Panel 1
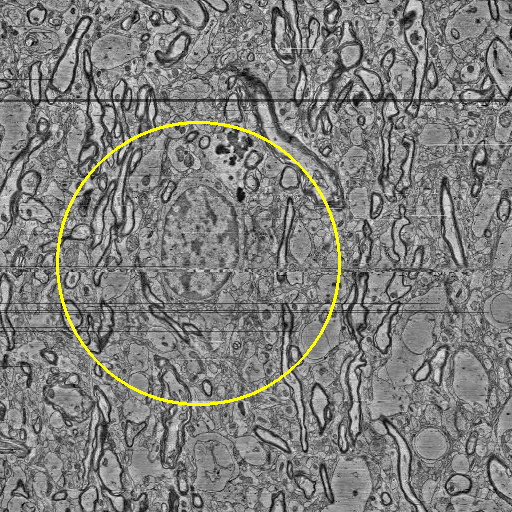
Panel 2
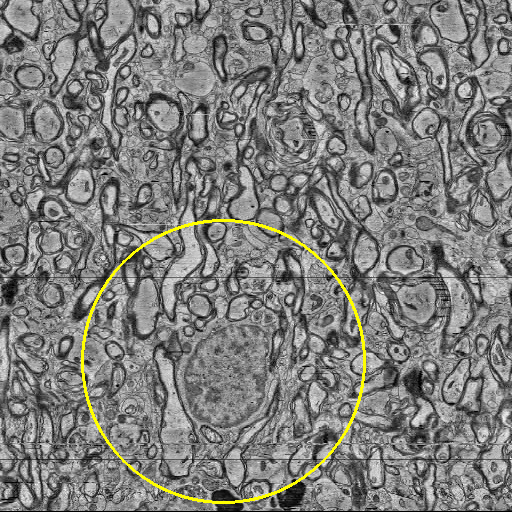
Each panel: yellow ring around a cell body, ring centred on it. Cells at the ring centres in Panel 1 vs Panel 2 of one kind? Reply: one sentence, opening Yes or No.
Yes, Panel 1 and Panel 2 have cells of one kind at the ring centres.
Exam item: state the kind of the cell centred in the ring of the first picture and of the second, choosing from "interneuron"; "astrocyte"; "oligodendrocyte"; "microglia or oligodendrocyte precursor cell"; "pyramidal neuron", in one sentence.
Both pictures show an oligodendrocyte at the centre of the ring.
